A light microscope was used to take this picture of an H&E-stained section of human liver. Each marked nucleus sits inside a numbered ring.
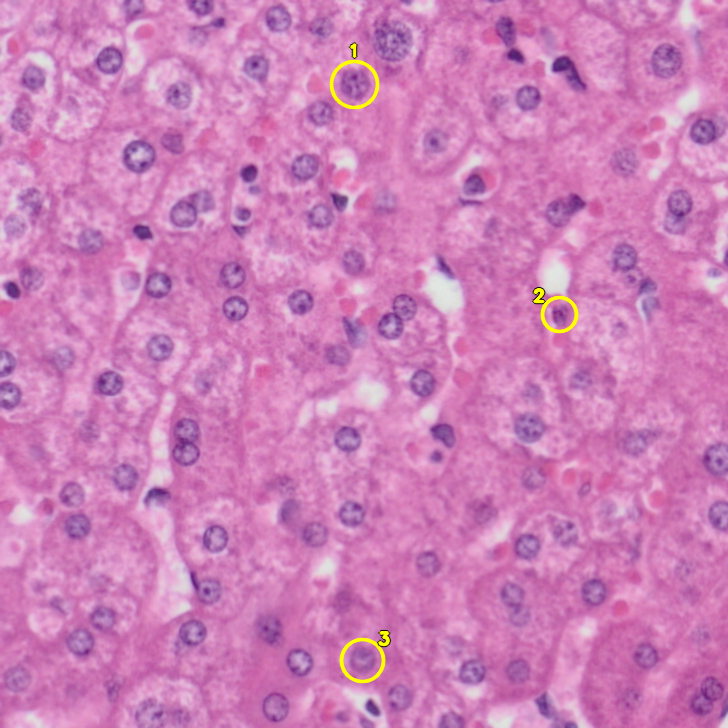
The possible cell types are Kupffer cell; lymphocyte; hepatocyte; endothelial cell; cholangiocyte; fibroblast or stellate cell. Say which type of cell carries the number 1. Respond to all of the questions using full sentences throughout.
The cell given label 1 is a hepatocyte.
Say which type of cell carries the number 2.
The cell to which the number 2 is assigned is an endothelial cell.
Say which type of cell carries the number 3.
Cell number 3 in this section is a hepatocyte.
